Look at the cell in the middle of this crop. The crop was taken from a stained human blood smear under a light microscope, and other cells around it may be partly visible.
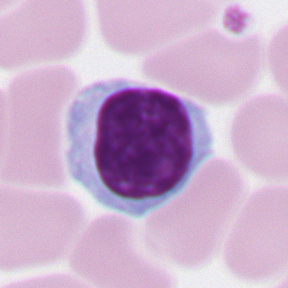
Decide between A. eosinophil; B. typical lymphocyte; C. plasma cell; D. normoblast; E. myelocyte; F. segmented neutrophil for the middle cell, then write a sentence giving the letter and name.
In the middle of the crop is a typical lymphocyte; option B is therefore correct.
